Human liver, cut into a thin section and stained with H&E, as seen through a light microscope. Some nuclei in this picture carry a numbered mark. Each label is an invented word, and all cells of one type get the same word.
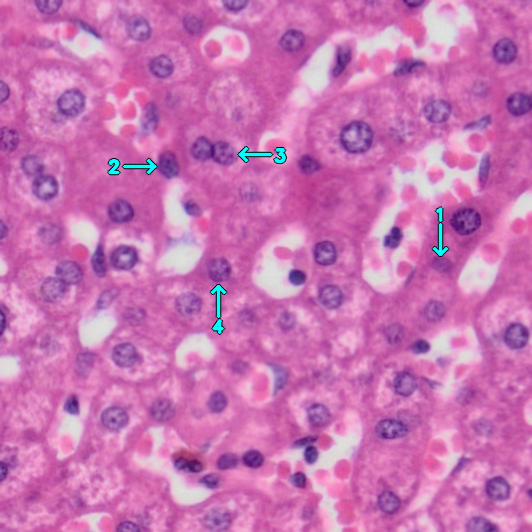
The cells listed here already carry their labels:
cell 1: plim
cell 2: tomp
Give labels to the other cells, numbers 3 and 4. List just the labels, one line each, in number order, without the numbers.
plim
plim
